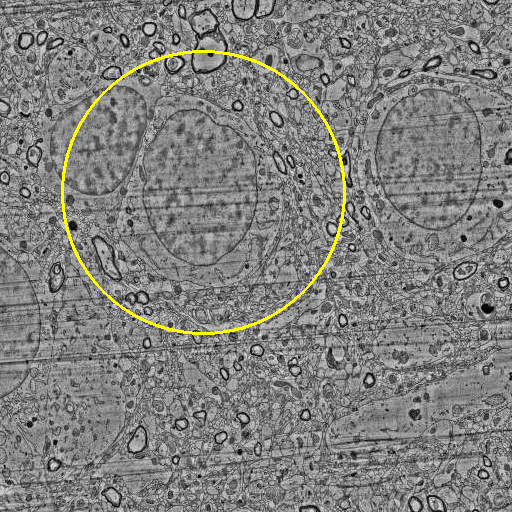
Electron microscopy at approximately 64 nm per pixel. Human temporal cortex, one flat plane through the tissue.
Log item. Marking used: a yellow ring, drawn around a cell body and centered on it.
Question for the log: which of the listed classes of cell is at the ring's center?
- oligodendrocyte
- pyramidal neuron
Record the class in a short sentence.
At the center of the ring lies a pyramidal neuron.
